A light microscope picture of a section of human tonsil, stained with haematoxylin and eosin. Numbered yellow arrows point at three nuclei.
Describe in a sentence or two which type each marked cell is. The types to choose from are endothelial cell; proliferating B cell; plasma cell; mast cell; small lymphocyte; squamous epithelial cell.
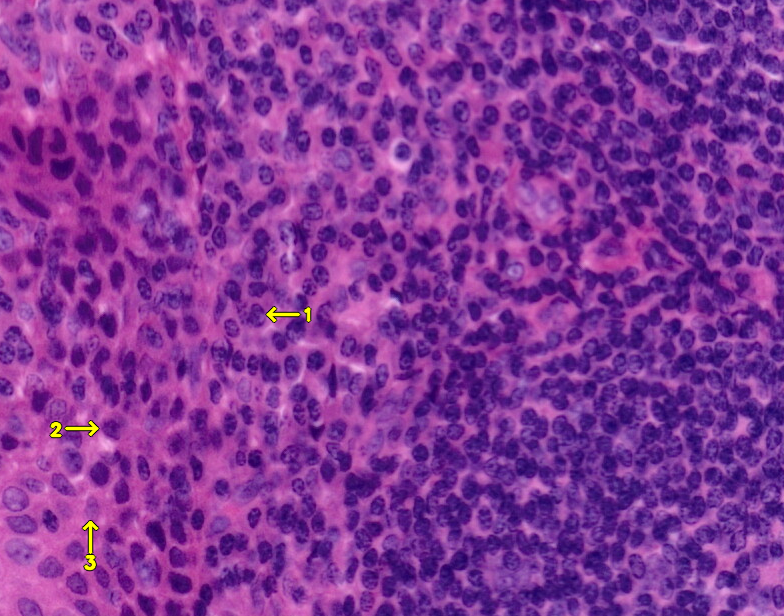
Cell 1 is a plasma cell, cell 2 is a squamous epithelial cell and cell 3 is a squamous epithelial cell.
